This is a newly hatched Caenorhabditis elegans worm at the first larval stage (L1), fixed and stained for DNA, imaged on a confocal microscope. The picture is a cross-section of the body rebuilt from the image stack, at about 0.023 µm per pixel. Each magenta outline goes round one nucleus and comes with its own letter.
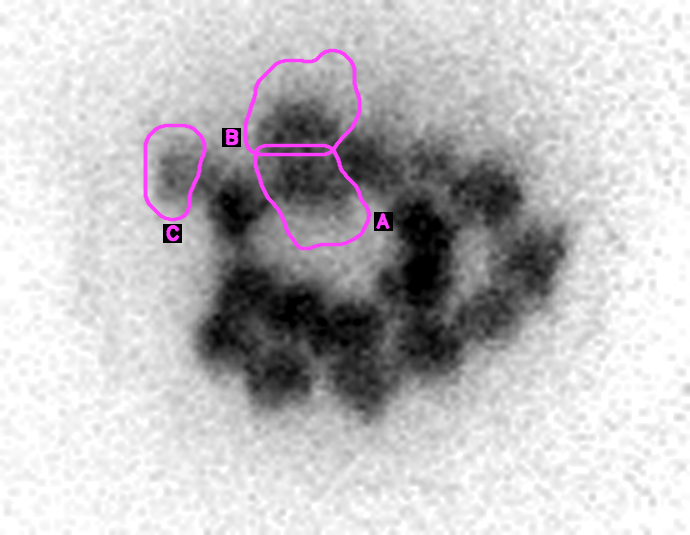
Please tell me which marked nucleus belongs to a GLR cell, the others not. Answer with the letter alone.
A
